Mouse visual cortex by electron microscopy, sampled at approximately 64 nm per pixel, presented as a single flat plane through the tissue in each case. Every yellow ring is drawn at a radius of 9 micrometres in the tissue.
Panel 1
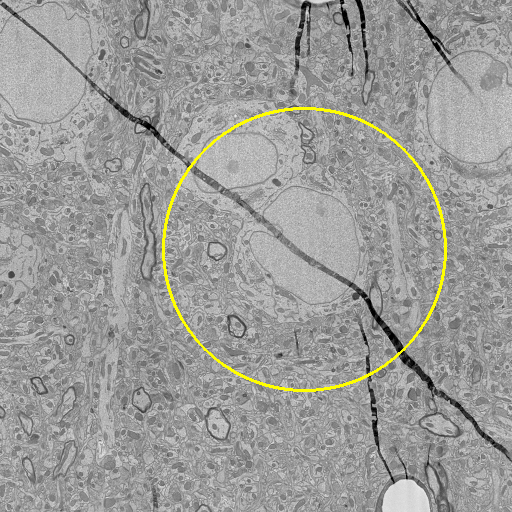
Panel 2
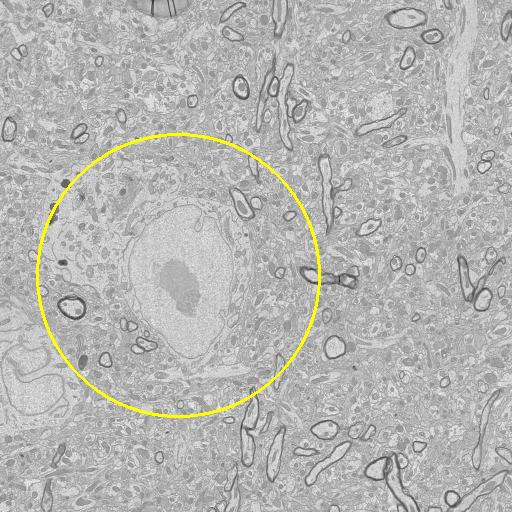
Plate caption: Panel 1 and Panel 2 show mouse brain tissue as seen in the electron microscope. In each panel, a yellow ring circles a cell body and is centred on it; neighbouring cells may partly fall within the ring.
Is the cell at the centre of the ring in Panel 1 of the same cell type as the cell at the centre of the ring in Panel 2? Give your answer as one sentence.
No, the two cells are of two types.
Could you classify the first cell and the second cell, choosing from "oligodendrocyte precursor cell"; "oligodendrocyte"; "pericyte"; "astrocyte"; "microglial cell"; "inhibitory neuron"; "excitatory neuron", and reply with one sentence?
The second cell is an inhibitory neuron, while the first is an excitatory neuron.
